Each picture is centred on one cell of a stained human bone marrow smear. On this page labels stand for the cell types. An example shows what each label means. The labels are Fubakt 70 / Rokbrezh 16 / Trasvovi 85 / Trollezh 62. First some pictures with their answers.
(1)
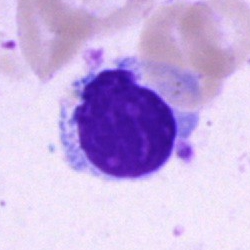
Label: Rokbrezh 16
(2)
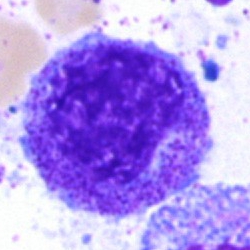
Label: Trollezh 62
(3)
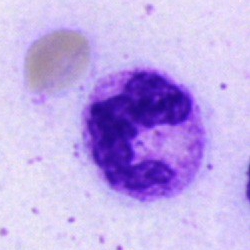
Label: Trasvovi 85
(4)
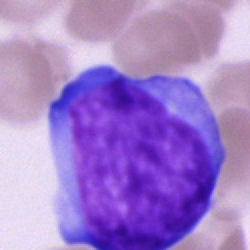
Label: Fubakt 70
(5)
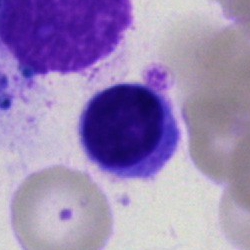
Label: Rokbrezh 16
